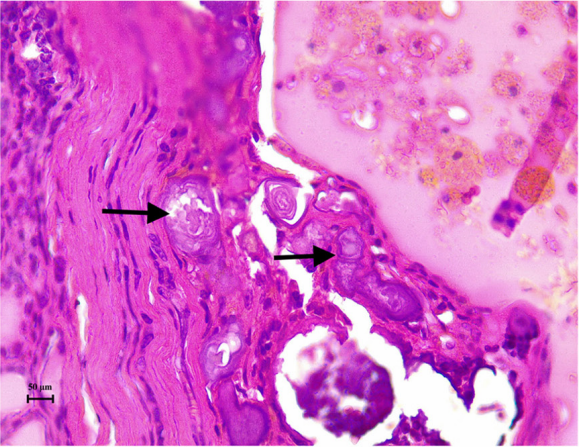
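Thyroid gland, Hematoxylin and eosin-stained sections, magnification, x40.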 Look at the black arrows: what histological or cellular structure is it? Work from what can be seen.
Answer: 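Rounded bodies with concentric lamellae. They lie in pink fibrous stroma beside a follicle lumen. They are acellular and lack nuclei. That points to this answer: psammoma bodies.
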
